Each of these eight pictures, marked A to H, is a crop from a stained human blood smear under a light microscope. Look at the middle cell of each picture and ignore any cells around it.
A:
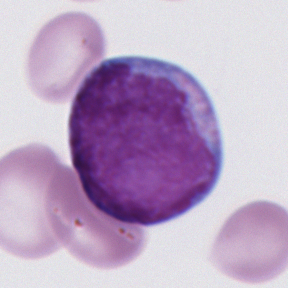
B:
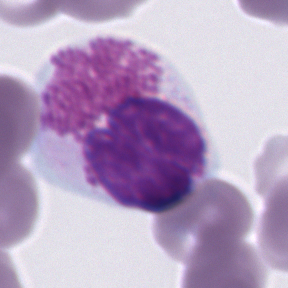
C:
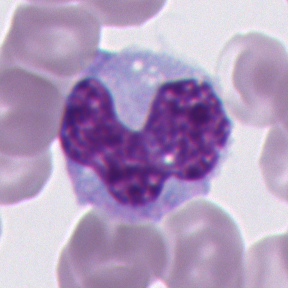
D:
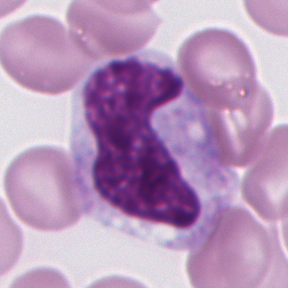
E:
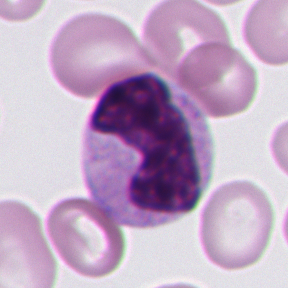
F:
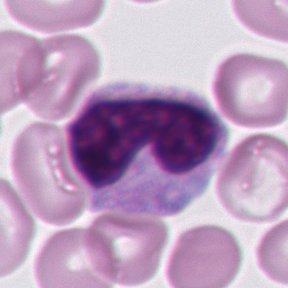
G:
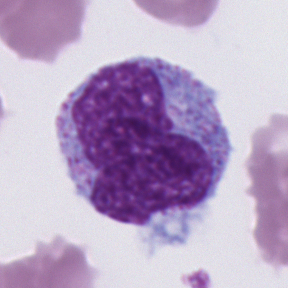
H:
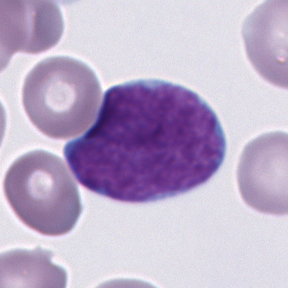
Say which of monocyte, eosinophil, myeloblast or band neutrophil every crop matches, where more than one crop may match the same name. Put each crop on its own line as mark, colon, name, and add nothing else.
A: myeloblast
B: eosinophil
C: monocyte
D: band neutrophil
E: band neutrophil
F: band neutrophil
G: monocyte
H: myeloblast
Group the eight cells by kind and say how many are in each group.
band neutrophil: 3
myeloblast: 2
monocyte: 2
eosinophil: 1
